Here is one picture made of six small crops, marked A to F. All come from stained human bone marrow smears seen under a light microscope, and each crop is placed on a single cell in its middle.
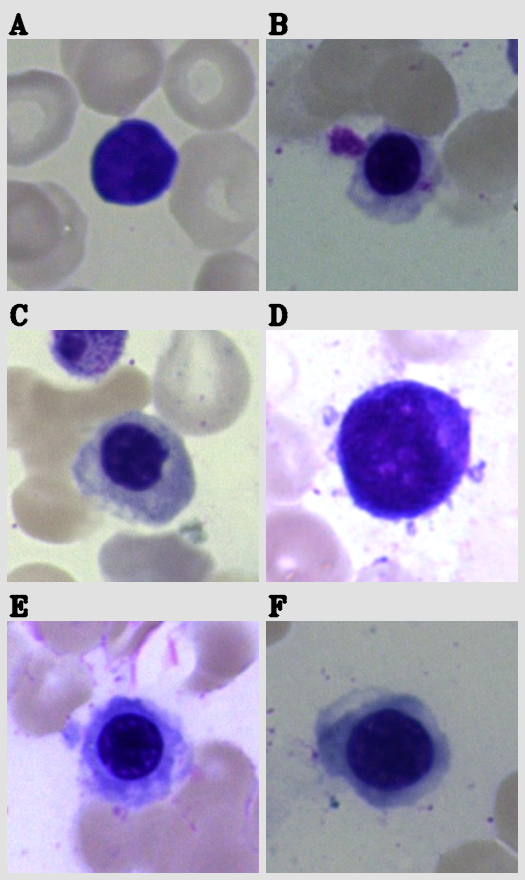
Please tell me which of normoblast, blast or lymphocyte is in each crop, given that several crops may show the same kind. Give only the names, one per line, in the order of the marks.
lymphocyte
normoblast
normoblast
blast
normoblast
normoblast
